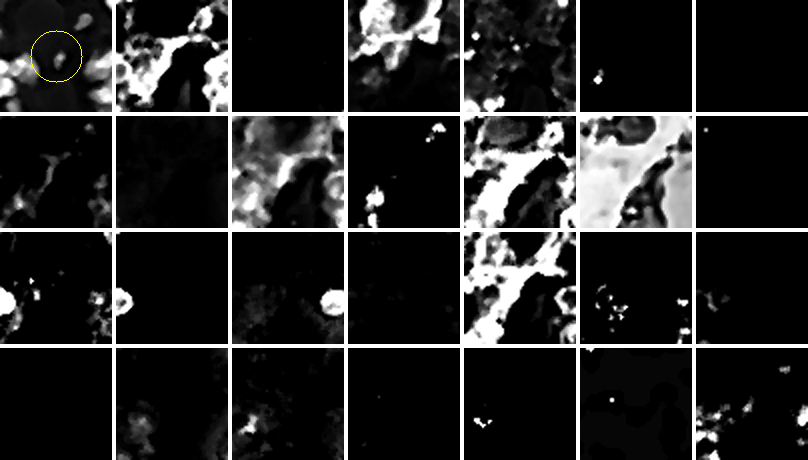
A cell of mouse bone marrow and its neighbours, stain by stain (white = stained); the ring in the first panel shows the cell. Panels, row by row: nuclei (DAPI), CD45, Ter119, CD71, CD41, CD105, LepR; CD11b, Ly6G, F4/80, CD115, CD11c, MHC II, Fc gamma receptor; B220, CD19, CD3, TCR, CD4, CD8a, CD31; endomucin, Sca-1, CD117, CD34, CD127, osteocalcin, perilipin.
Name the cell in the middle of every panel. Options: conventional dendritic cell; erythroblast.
conventional dendritic cell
